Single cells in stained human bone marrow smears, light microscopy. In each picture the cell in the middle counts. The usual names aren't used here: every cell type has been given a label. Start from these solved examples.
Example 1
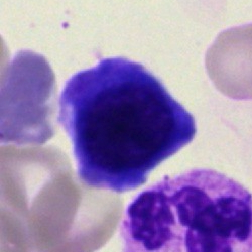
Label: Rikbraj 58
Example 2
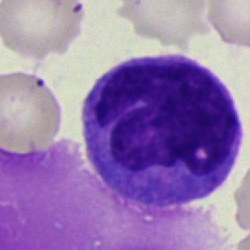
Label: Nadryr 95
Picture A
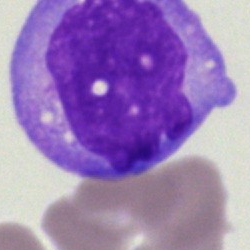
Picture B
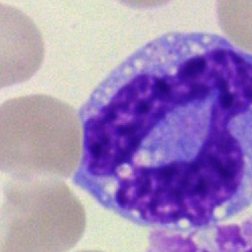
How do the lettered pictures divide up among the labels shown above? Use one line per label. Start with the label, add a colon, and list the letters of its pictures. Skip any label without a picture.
Nadryr 95: A, B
